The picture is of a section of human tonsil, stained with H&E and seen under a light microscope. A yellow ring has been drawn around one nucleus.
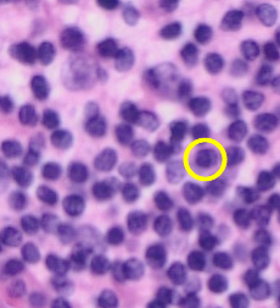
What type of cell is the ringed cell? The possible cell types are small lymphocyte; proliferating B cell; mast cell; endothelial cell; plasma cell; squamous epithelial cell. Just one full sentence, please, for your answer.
Cell type answer for this item: the ringed cell is a small lymphocyte.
